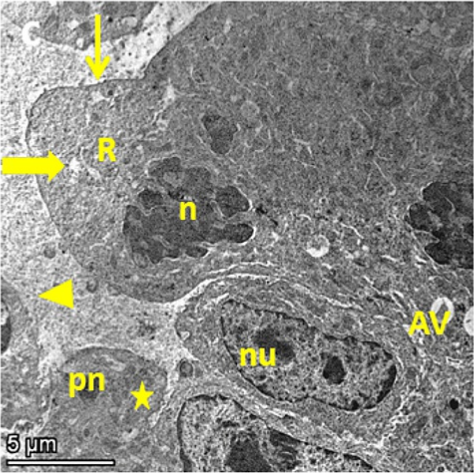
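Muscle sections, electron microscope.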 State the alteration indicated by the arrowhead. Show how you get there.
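The arrowhead lies in a broad pale zone separating the cells. The pale zone contains little dense material. That points to this answer: widened intercellular space.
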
